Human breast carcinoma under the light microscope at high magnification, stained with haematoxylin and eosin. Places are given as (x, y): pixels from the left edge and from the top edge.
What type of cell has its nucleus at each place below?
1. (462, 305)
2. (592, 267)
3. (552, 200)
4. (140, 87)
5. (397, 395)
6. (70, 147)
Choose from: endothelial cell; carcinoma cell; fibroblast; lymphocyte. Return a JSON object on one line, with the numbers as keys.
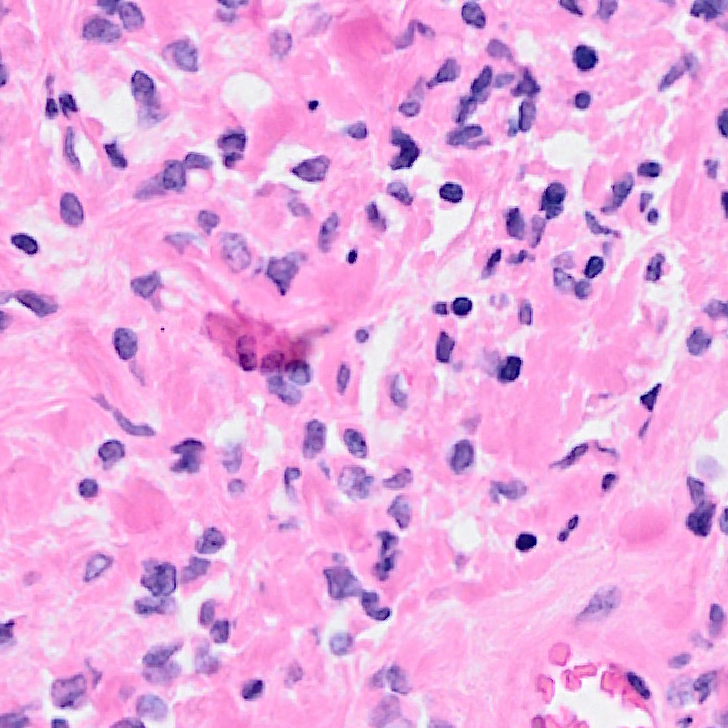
{"1": "lymphocyte", "2": "lymphocyte", "3": "lymphocyte", "4": "carcinoma cell", "5": "endothelial cell", "6": "endothelial cell"}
